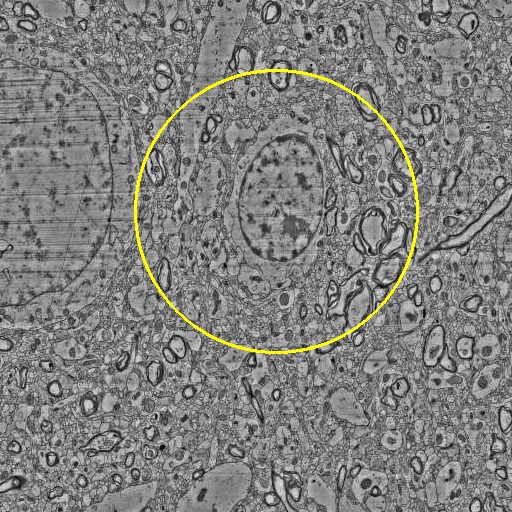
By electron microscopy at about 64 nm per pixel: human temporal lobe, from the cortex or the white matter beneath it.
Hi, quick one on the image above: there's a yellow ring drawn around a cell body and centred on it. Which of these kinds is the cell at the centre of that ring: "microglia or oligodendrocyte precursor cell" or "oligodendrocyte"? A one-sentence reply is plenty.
The cell at the centre of the ring is a microglial cell or oligodendrocyte precursor cell.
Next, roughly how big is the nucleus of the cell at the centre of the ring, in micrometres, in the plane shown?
In this plane, the nucleus of the cell at the centre of the ring measures about 8 by 6 micrometres.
